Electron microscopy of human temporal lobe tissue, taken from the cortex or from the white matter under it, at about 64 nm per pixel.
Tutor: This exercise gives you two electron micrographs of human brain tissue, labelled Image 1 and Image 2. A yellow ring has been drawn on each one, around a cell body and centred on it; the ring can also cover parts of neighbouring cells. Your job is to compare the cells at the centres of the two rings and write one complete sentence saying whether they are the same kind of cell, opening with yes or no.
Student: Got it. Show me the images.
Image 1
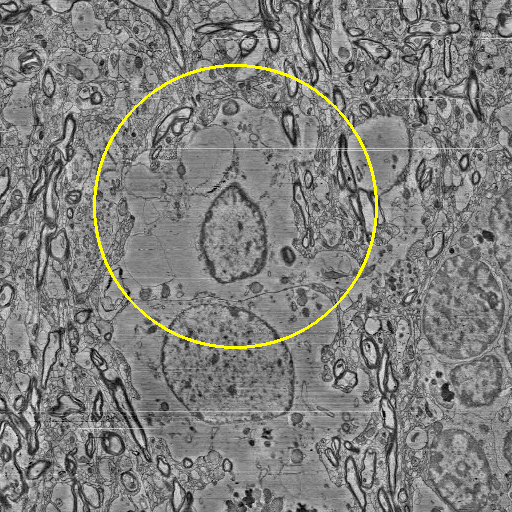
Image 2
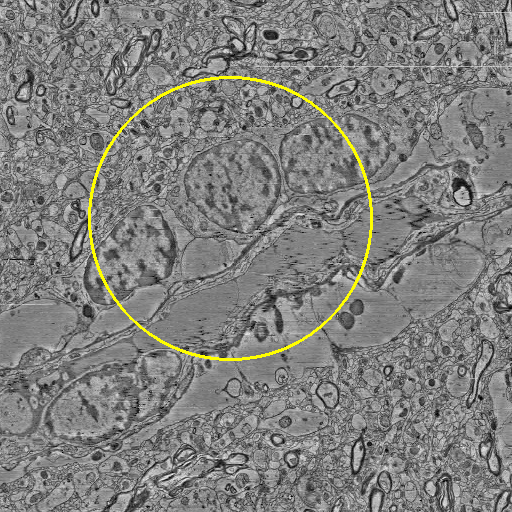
No, the two cells belong to two kinds.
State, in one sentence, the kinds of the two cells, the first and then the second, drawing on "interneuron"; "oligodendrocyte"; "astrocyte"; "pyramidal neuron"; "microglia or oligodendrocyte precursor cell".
The ring in the second picture is centred on an oligodendrocyte, the ring in the first on an astrocyte.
